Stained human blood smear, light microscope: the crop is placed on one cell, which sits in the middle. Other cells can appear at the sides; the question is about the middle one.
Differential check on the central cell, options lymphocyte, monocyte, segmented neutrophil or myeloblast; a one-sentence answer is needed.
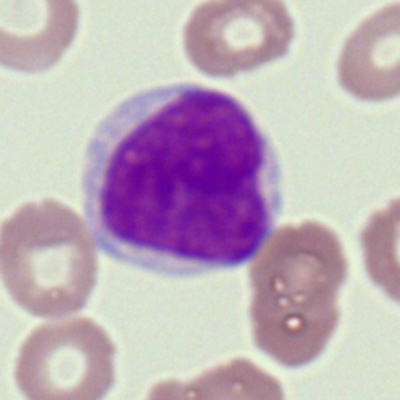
The single cell at the center of the crop is a lymphocyte.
